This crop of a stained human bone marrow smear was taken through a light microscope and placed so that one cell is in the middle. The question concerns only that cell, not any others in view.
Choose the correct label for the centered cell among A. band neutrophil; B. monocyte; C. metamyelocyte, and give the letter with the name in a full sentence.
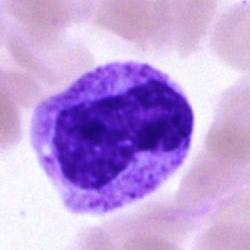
The centrally positioned cell is a metamyelocyte, consistent with option C, which is correct.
